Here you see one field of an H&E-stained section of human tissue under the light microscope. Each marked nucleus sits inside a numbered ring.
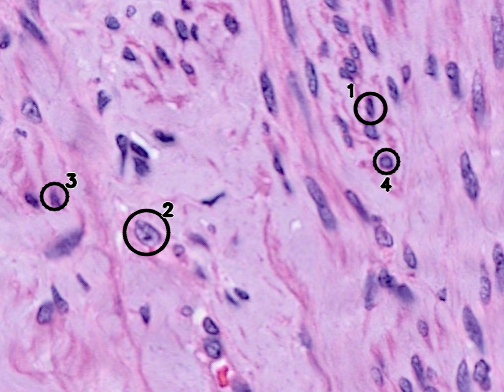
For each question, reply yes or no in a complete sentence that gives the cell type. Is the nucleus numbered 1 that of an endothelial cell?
No, instead of an endothelial cell, the cell with number 1 is a smooth muscle cell.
